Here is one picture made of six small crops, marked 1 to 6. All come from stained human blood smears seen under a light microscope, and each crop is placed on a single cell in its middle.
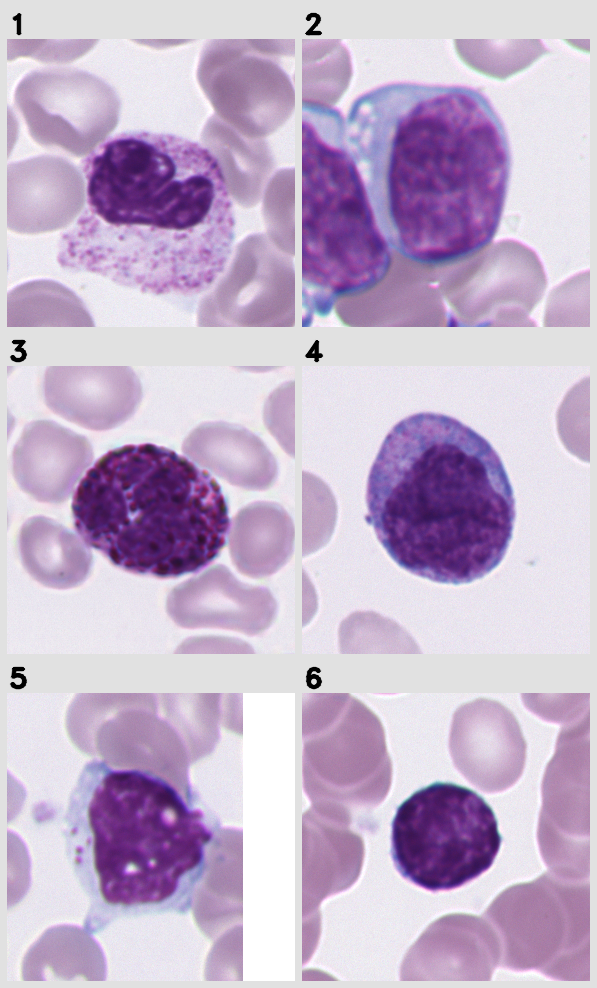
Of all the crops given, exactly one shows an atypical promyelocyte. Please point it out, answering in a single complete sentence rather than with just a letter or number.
Crop 4 is the crop featuring an atypical promyelocyte at its center.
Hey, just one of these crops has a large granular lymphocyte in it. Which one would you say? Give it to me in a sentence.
Here the crop that shows a large granular lymphocyte is crop 5.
